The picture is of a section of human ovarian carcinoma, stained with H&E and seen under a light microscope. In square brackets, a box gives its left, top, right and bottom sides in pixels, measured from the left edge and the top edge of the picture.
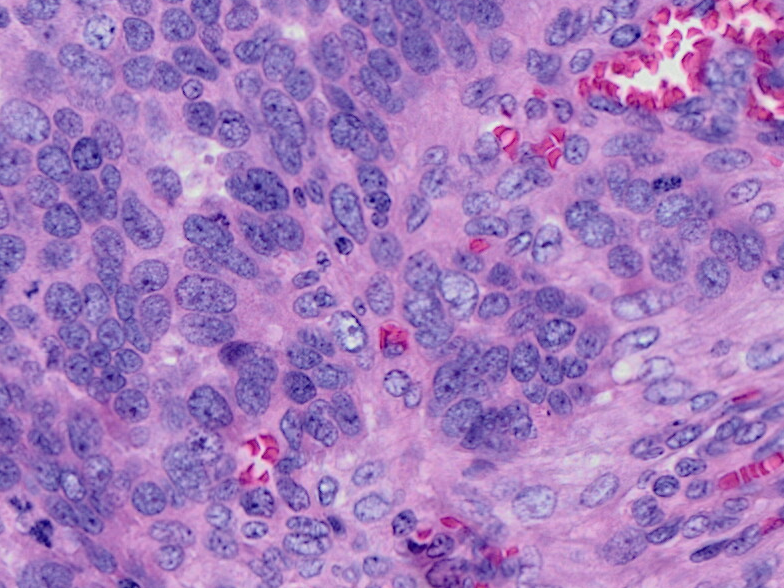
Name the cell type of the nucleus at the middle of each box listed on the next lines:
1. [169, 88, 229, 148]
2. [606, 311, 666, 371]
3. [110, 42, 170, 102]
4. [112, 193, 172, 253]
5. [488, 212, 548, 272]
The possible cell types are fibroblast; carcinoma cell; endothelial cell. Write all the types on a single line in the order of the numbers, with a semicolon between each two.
carcinoma cell; fibroblast; carcinoma cell; carcinoma cell; fibroblast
